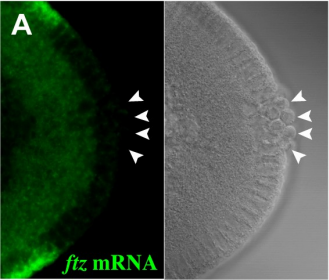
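This is the pointed end of an early embryo, with a cluster of pole cells sitting at its very tip. In the interference-contrast half, the embryo's surface is a single regular row of tall, narrow cells standing side by side like a palisade. Beyond that row, at the tip, lie several large round pole cells, each with a smooth outline, bulging out from the embryo. In the fluorescence half, green signal is spread through the embryo's surface layer further from the tip, brightest along one edge. The pole cells themselves stay dark, with no green in them.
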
